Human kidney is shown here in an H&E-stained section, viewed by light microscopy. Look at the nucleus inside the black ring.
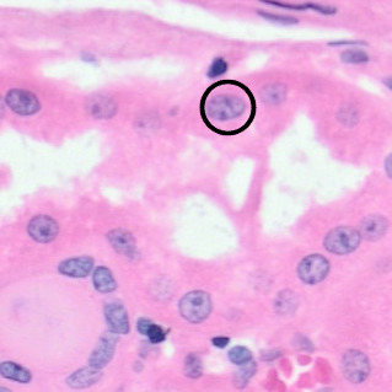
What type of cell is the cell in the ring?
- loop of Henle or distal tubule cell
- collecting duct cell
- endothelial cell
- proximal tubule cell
proximal tubule cell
